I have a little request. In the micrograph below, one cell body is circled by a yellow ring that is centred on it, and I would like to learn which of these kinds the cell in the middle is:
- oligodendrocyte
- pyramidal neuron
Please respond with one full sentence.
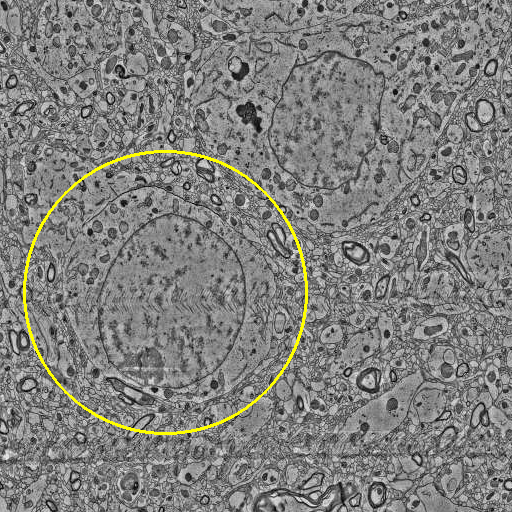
The cell sitting in the middle of the yellow ring in the micrograph is a pyramidal neuron.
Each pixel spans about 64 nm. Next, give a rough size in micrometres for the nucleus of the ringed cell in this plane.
In this plane, the nucleus is roughly 11 by 9 micrometres.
